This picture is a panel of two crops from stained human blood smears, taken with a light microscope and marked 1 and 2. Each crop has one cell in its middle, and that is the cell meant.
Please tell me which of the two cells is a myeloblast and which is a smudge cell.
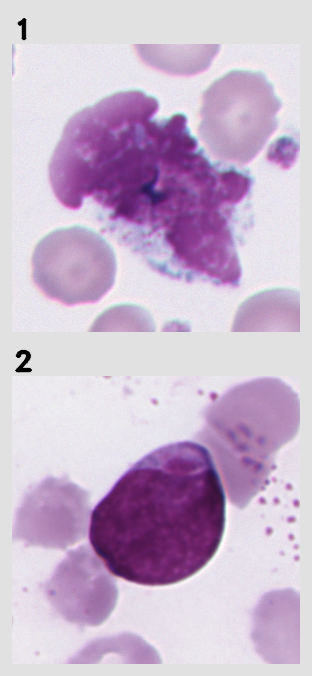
1: smudge cell
2: myeloblast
